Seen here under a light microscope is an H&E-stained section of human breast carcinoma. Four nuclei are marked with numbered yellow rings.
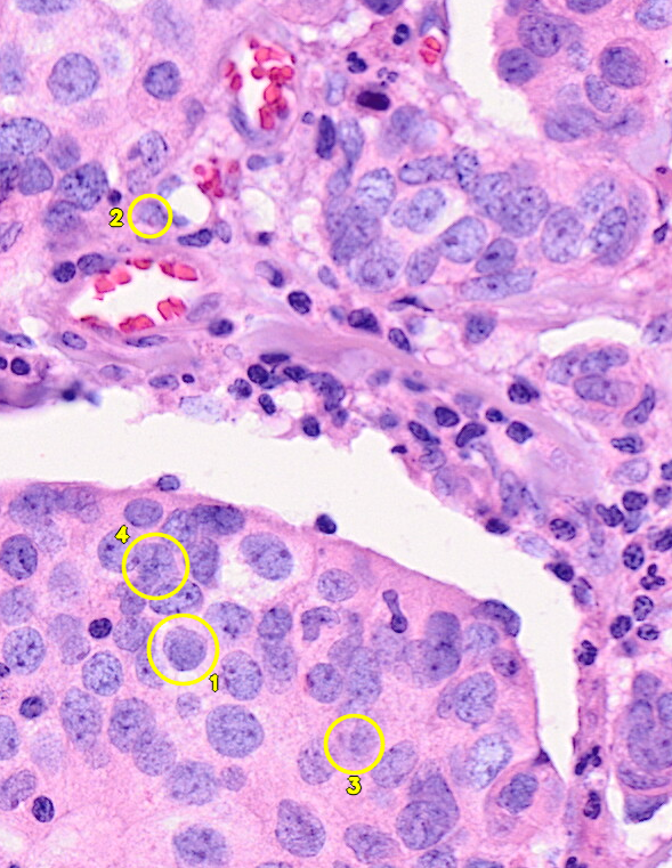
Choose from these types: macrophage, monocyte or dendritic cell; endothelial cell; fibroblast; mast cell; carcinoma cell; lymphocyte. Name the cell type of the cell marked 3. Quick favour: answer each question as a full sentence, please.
The expected answer is that cell 3 is a carcinoma cell.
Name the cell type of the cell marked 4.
The cell marked with number 4 is a carcinoma cell.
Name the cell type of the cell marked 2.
The cell marked with the number 2 is an endothelial cell.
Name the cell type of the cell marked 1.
The cell given label 1 is a carcinoma cell.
